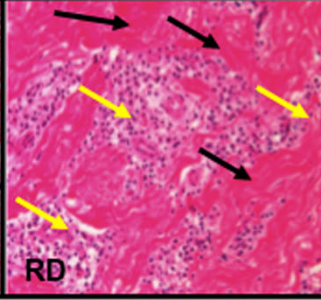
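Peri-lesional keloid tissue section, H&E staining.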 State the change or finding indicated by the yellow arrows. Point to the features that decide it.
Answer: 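Dense clusters of small dark purple nuclei. The clusters lie between pink collagen bundles. The answer: increased cell infiltration.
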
